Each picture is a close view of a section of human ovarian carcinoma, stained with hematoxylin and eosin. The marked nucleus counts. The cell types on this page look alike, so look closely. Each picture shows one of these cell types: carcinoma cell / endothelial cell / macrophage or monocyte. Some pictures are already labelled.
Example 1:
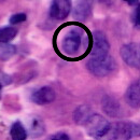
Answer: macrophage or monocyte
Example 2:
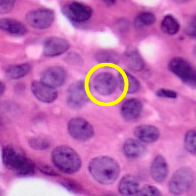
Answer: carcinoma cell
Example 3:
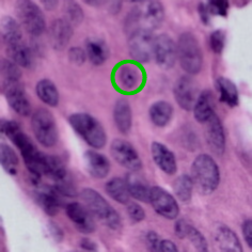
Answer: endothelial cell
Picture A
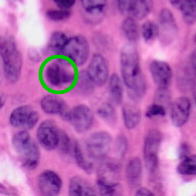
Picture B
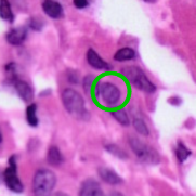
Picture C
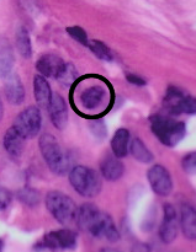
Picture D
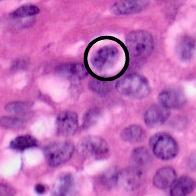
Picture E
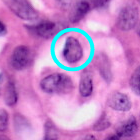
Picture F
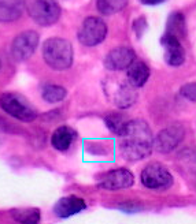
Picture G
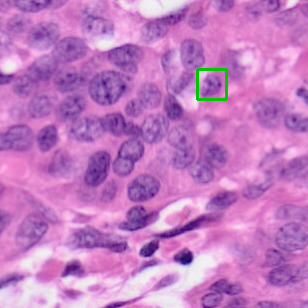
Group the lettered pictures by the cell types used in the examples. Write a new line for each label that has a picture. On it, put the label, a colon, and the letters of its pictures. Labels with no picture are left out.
carcinoma cell: A, B
macrophage or monocyte: C, D, E, F, G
